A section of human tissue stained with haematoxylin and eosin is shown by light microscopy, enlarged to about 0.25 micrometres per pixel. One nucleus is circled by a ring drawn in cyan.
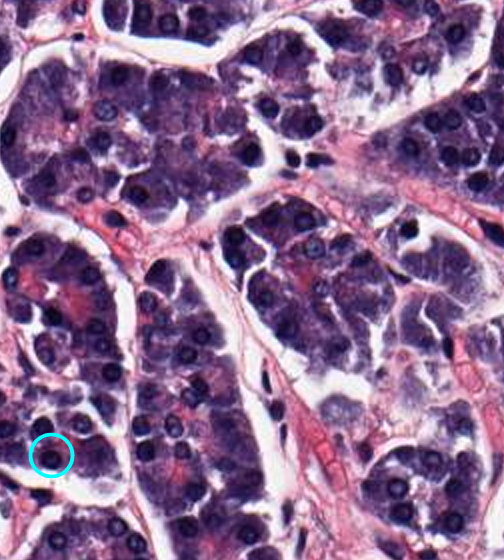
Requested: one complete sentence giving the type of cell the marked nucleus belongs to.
Singled out by the mark is the nucleus of a pancreatic acinar cell.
